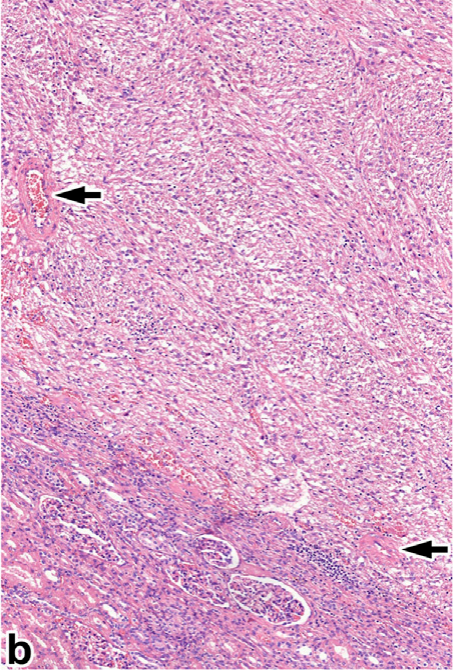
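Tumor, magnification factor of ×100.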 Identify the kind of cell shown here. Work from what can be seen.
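Spindle-shaped cells. Most of the upper field is filled with elongated cells with pink cytoplasm. The cells run in interlacing bundles.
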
